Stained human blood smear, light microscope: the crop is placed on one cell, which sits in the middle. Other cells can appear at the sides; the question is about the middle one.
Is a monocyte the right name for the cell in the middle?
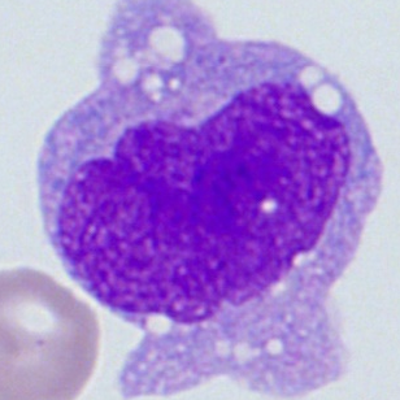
yes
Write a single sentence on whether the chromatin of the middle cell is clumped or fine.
Coarse clumps are absent, and the chromatin is fine throughout.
